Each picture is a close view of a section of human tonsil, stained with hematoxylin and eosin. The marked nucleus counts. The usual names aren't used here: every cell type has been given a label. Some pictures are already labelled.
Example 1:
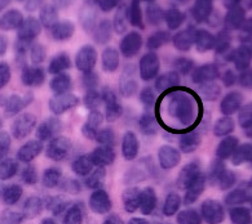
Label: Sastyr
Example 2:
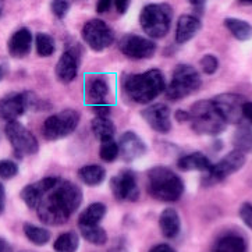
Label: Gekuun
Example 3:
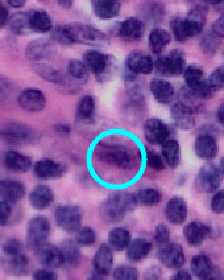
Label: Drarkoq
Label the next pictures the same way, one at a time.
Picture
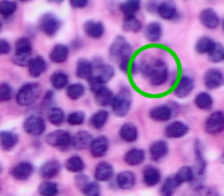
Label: Gekuun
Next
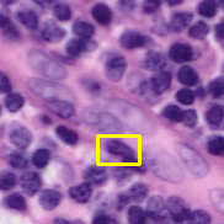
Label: Drarkoq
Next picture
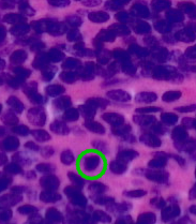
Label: Drarkoq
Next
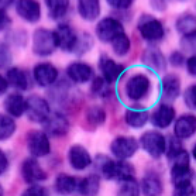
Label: Sastyr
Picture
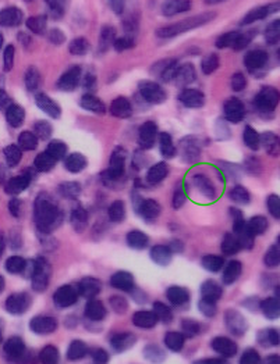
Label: Drarkoq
